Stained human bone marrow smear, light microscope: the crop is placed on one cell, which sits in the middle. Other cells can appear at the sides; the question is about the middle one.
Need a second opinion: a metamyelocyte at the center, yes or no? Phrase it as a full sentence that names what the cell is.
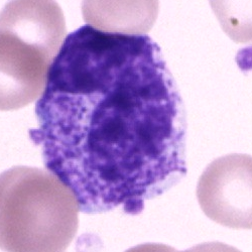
Yes, this is a metamyelocyte, the cell in the middle of the crop.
